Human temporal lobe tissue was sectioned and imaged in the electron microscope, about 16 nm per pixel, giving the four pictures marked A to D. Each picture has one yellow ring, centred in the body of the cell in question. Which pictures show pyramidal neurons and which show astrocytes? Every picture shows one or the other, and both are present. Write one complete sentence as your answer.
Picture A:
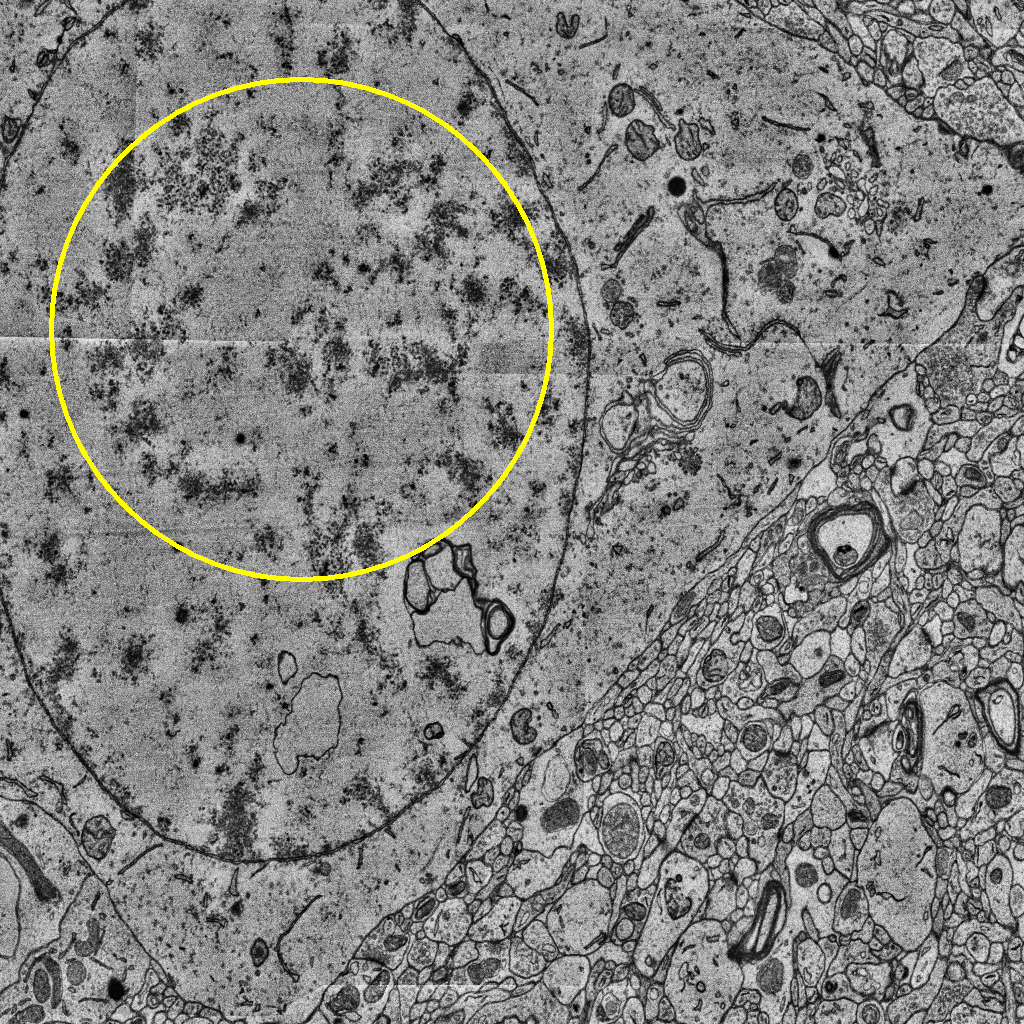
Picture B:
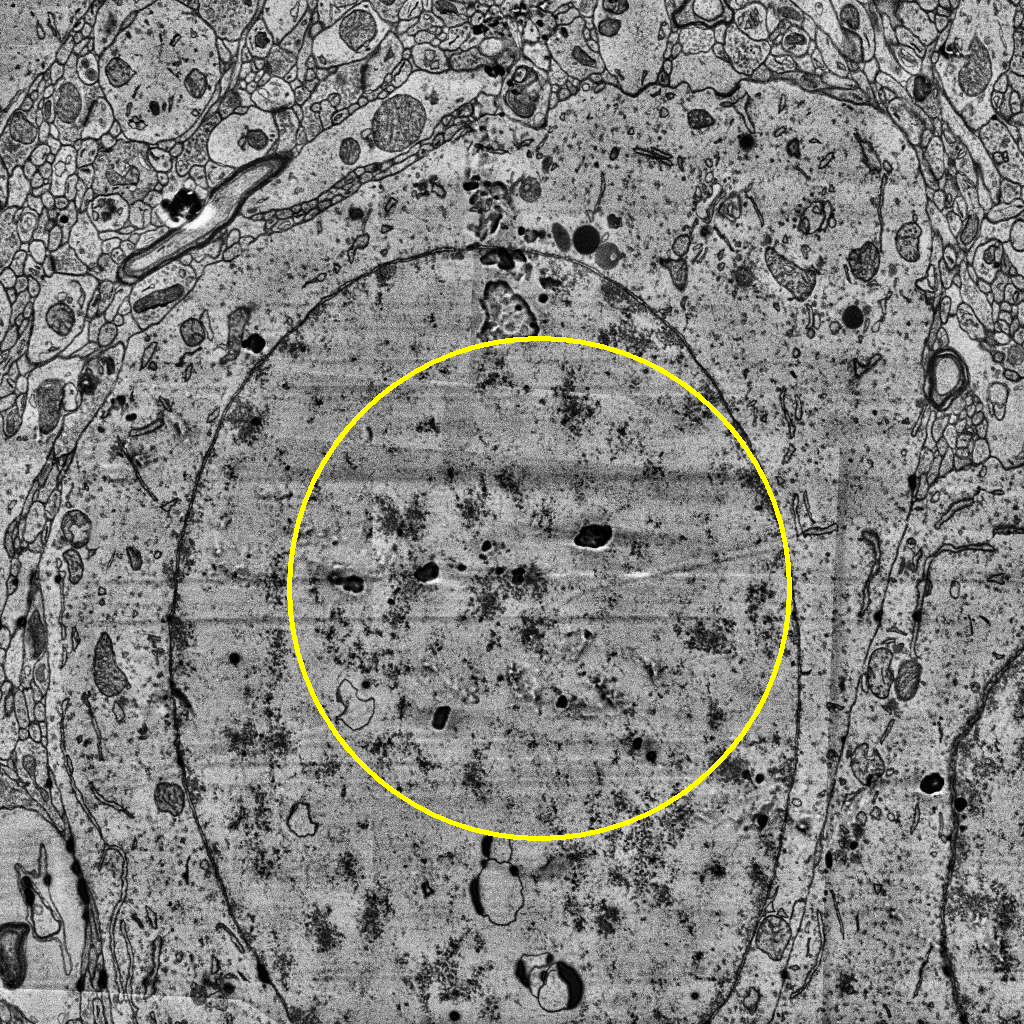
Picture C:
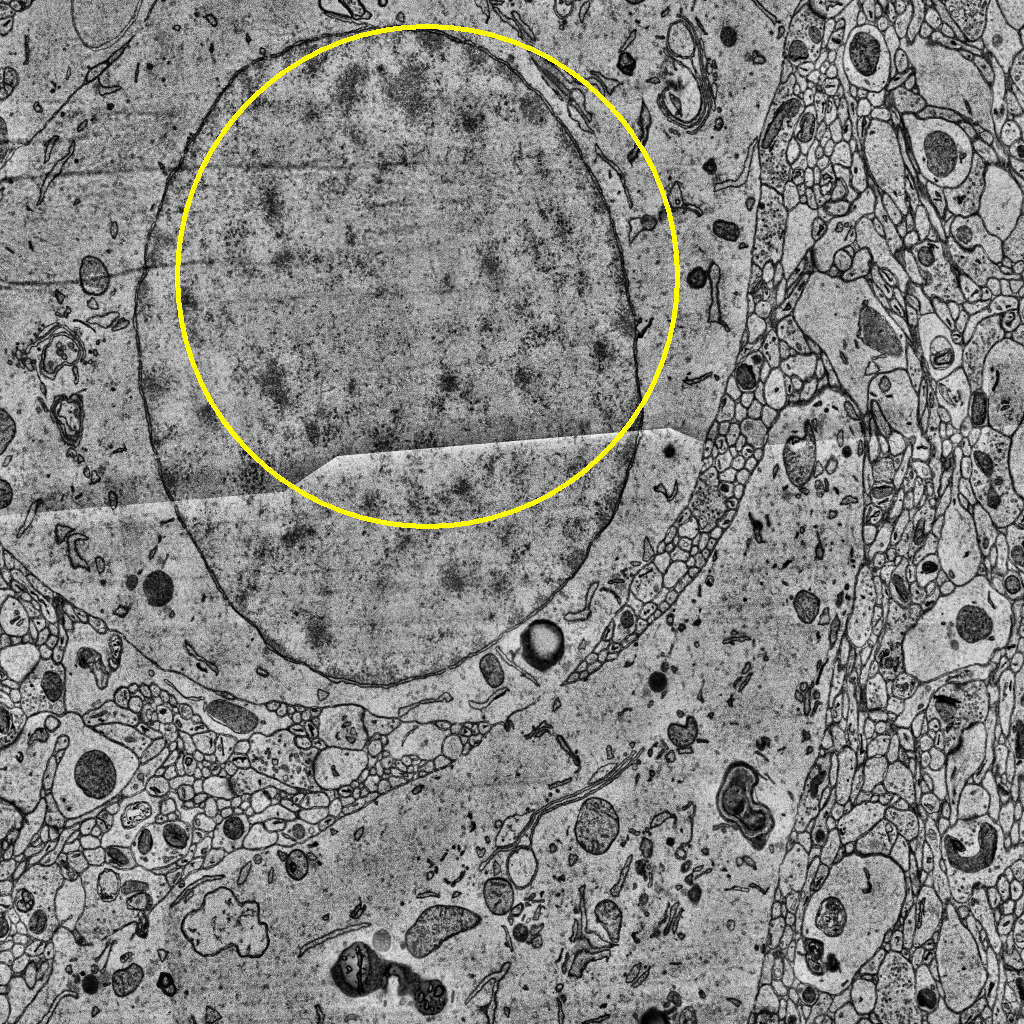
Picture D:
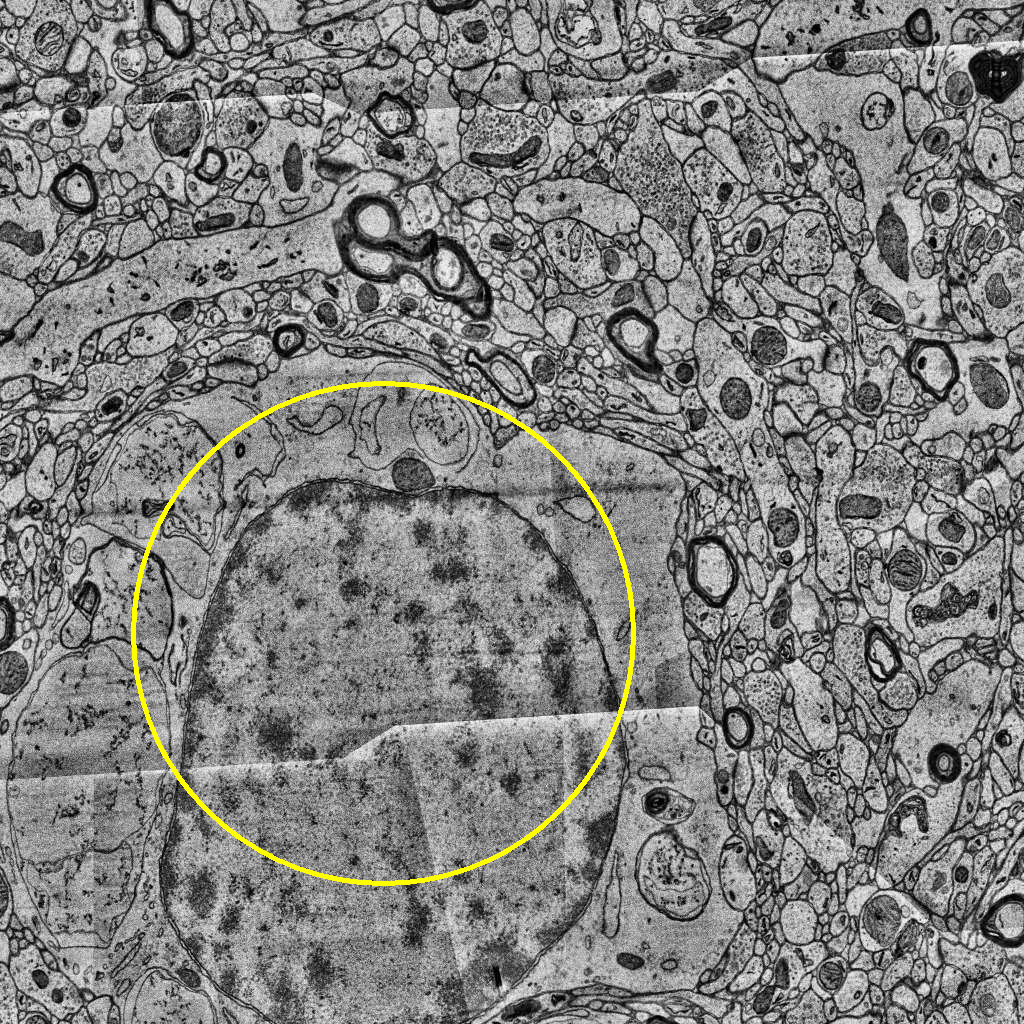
Pictures A, B and C show pyramidal neurons, while picture D shows an astrocyte.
